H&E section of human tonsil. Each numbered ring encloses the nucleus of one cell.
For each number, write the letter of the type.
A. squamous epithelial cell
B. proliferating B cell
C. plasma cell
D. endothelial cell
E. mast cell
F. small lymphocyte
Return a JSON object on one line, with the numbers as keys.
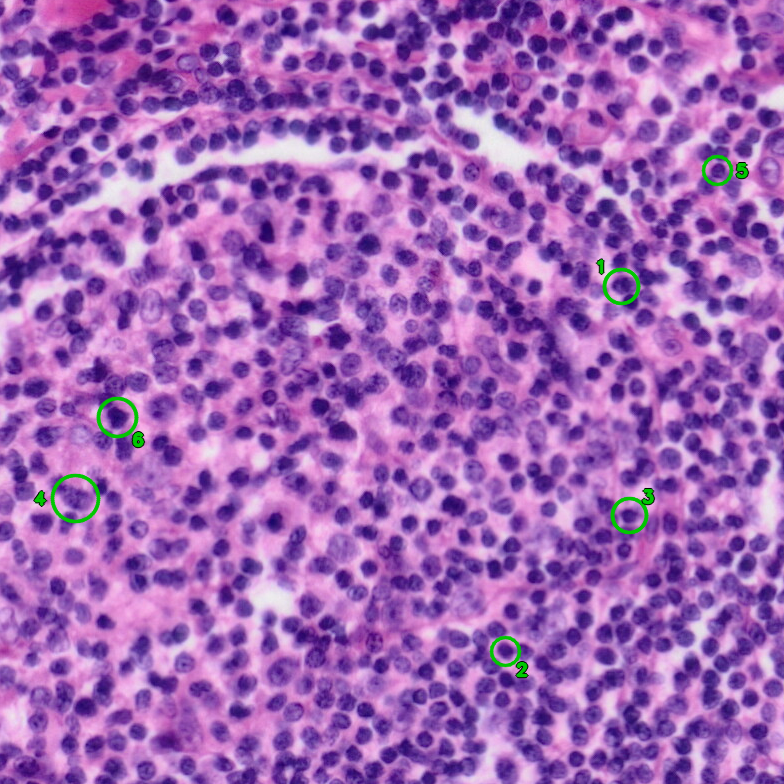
{"1": "F", "2": "F", "3": "F", "4": "B", "5": "F", "6": "B"}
